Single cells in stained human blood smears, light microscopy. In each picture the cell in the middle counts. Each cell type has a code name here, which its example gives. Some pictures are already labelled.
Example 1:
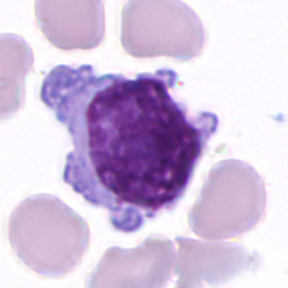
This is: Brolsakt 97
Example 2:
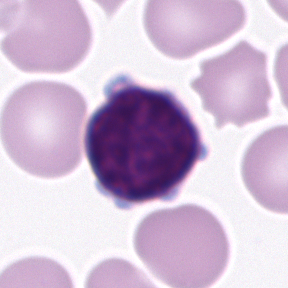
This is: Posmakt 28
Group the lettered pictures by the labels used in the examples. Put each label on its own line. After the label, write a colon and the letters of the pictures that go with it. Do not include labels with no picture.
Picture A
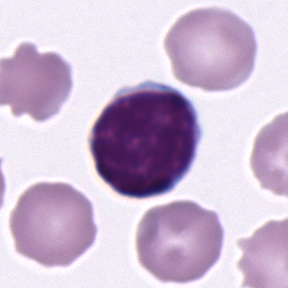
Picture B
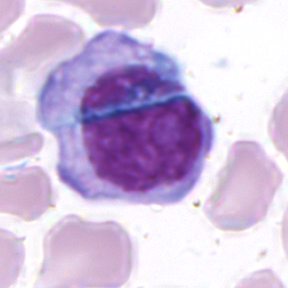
Brolsakt 97: B
Posmakt 28: A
